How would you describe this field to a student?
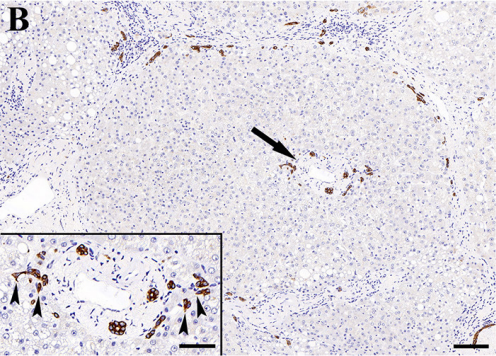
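This is liver parenchyma made of large pale polygonal cells with round blue nuclei arranged in a broad nodule, bordered by thin septa with denser small nuclei. Brown-stained small structures lie scattered along the septa and cluster around a central small lumen. In the inset at higher power, the brown structures are small ducts and thin spiky cords of little cells that end directly against the large pale parenchymal cells.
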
